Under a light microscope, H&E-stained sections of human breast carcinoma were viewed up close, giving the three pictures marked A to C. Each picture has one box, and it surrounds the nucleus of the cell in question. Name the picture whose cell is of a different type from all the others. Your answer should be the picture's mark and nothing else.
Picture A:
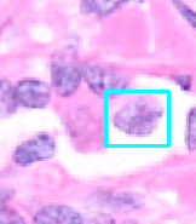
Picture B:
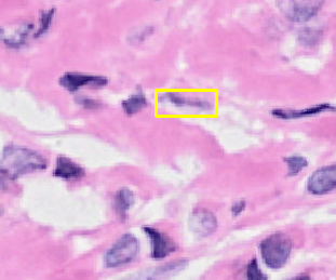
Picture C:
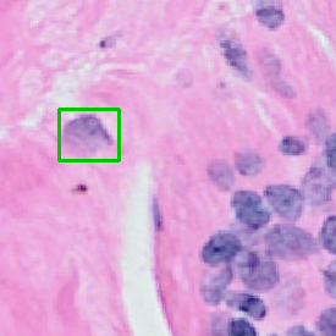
A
